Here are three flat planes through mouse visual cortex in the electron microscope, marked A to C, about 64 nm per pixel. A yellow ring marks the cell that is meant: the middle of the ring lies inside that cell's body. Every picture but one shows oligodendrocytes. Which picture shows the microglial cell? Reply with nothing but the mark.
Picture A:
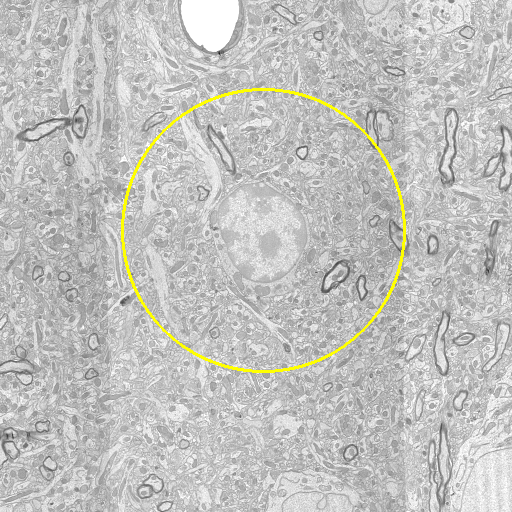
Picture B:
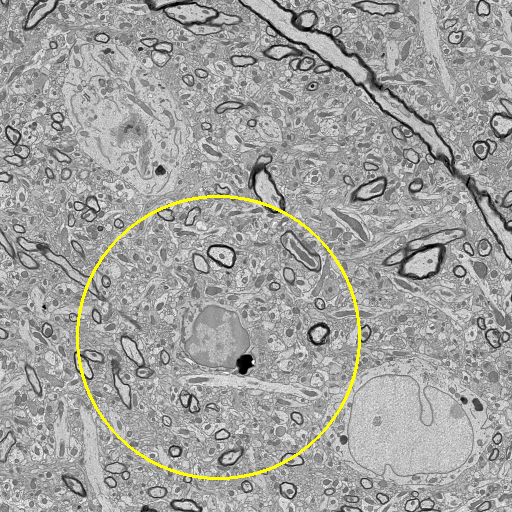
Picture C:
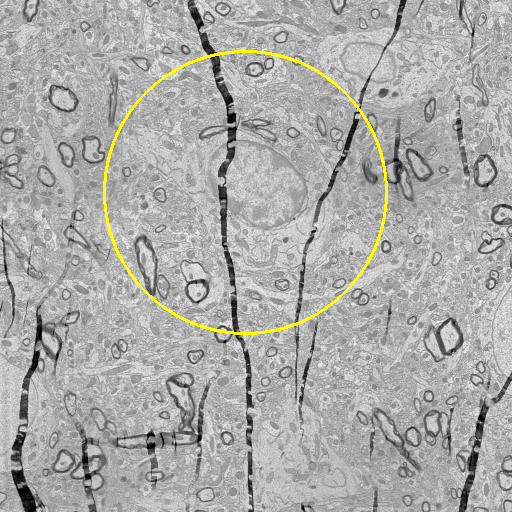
B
